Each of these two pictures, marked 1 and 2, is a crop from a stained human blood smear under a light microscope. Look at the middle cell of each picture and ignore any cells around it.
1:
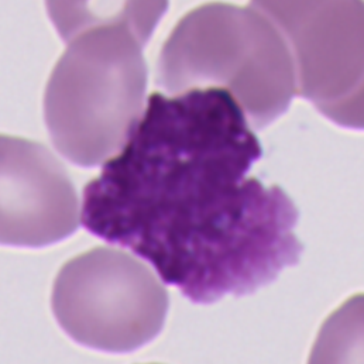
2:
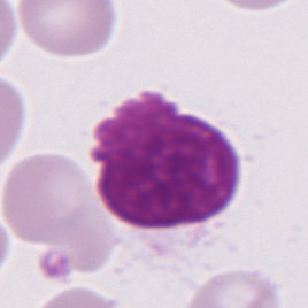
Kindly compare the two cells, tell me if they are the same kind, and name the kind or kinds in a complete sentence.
Yes, in short, both crops show smudge cells.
